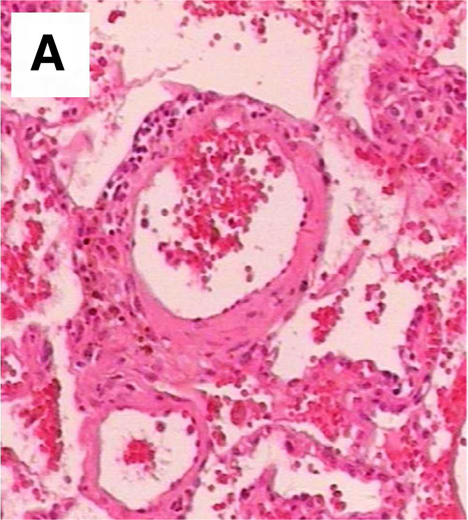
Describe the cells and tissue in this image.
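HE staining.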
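A small pulmonary vessel is cut in cross section, with a round, wide open lumen holding loose red blood cells. Around the vessel lie thin-walled alveoli, some containing red blood cells, and a second smaller vessel is seen below.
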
